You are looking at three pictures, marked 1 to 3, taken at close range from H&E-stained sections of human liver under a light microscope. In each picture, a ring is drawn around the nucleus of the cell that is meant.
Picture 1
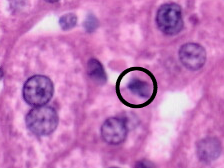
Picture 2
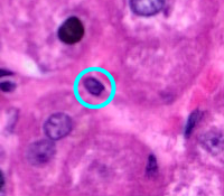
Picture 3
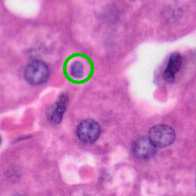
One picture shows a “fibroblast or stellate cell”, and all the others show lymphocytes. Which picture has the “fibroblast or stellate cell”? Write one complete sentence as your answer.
It is picture 1 that shows the “fibroblast or stellate cell”.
